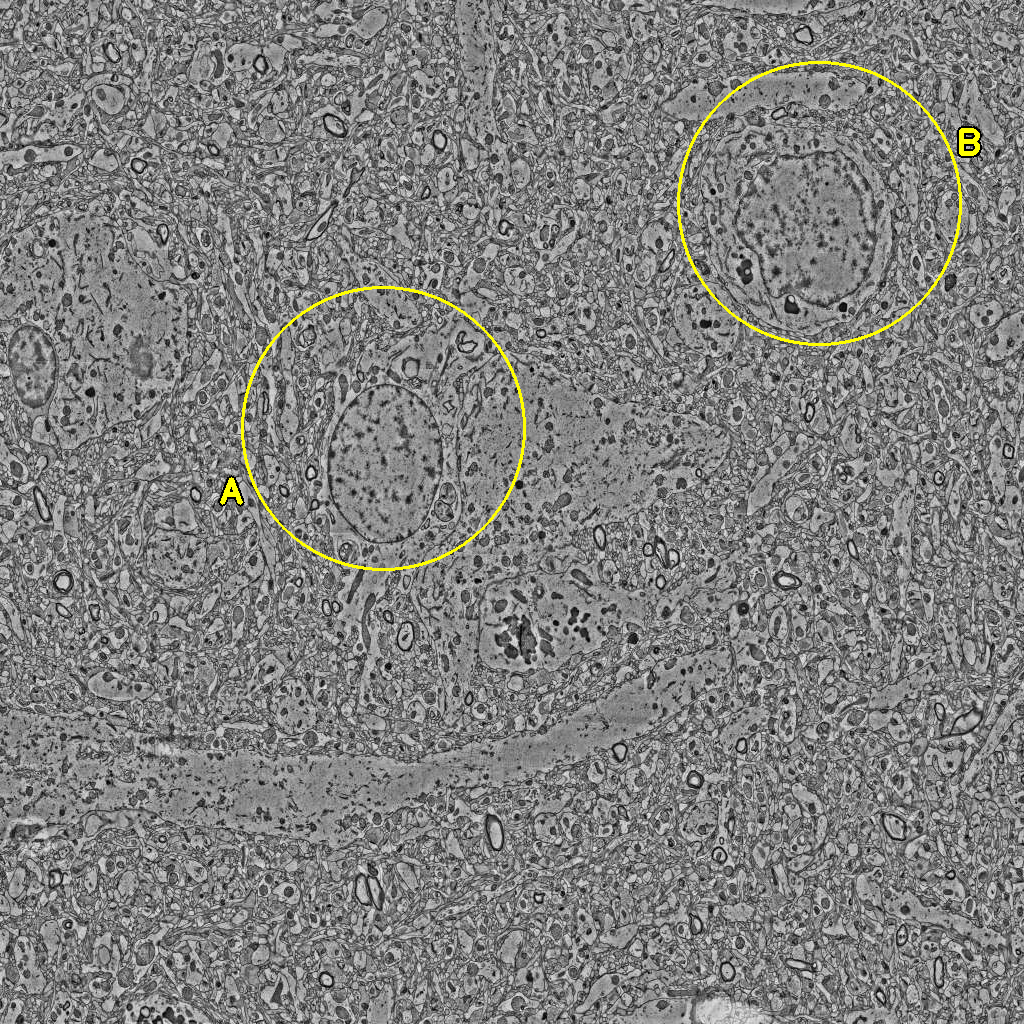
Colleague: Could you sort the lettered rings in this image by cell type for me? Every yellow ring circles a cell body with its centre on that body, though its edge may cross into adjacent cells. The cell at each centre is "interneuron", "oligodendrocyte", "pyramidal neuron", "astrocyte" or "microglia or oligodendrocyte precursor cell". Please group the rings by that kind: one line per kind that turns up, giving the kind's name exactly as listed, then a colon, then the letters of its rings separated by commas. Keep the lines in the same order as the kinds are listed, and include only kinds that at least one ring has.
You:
interneuron: B
astrocyte: A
